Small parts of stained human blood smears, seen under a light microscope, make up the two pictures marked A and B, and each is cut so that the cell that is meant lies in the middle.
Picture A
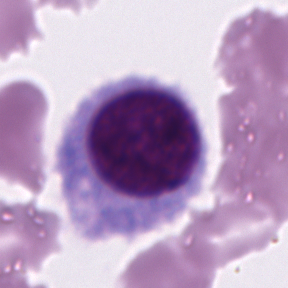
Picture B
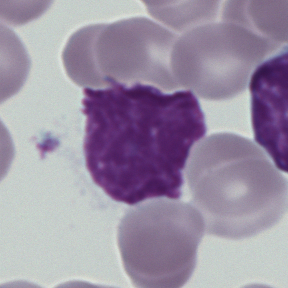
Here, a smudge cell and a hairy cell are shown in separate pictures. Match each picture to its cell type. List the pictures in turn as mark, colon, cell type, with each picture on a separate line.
A: hairy cell
B: smudge cell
